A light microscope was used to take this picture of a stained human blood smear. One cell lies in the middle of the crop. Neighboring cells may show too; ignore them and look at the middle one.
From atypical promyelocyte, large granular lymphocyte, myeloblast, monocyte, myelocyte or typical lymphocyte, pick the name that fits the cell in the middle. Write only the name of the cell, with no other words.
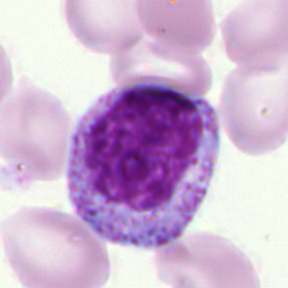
myelocyte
